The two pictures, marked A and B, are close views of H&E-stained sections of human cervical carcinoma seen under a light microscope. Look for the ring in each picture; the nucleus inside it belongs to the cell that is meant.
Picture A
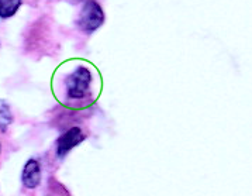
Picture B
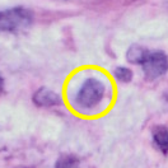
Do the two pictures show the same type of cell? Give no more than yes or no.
no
